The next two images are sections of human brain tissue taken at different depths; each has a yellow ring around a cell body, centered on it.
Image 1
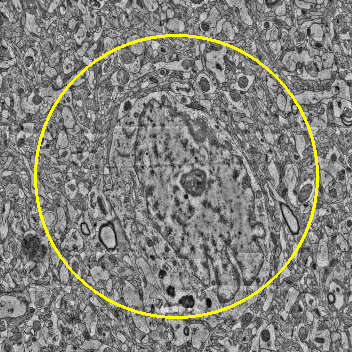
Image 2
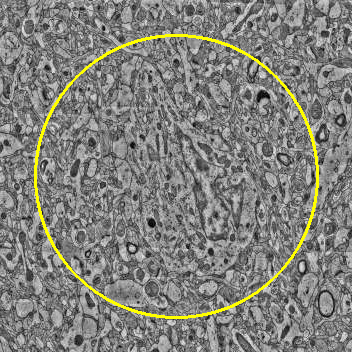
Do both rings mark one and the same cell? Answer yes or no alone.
yes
